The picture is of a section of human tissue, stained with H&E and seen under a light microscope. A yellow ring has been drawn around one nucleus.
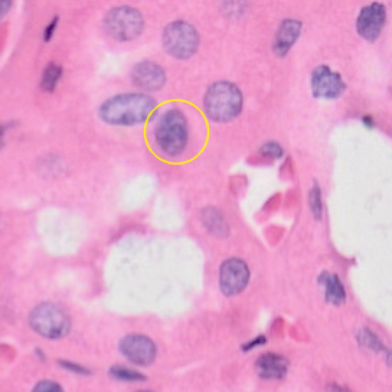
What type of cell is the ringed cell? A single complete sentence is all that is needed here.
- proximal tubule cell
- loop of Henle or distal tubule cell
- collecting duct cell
Assigned to a cell type, the ringed cell is a proximal tubule cell.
